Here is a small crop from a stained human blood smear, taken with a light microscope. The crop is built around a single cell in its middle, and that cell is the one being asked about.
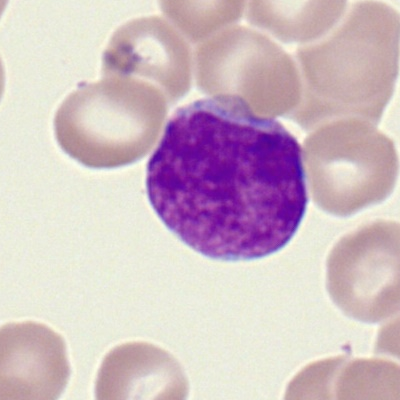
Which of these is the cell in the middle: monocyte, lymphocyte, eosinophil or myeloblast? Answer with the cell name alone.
myeloblast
